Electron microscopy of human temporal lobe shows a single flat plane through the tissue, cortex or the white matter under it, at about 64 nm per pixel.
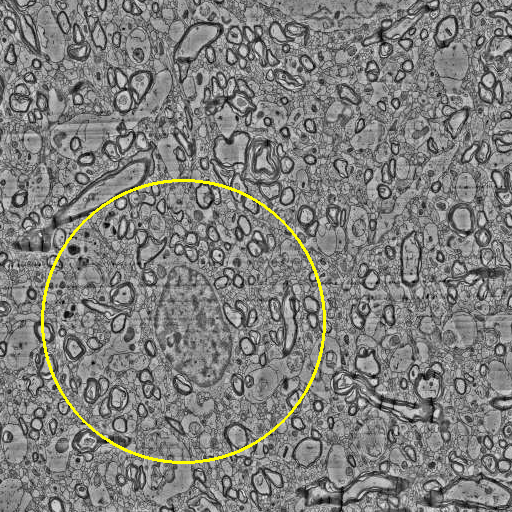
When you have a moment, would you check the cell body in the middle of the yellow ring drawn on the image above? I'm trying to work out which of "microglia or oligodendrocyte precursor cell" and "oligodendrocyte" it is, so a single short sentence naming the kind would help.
This cell body belongs to an oligodendrocyte.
